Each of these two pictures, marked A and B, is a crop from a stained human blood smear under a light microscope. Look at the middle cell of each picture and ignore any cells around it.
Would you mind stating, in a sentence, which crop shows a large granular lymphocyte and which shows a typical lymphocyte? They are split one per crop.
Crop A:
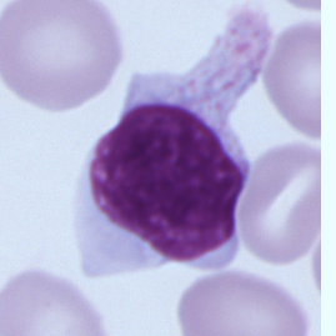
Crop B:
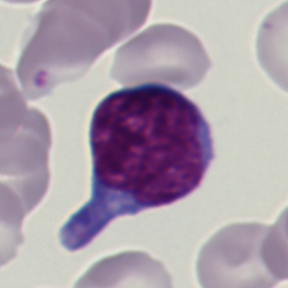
Crop B shows a typical lymphocyte, and crop A shows a large granular lymphocyte.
